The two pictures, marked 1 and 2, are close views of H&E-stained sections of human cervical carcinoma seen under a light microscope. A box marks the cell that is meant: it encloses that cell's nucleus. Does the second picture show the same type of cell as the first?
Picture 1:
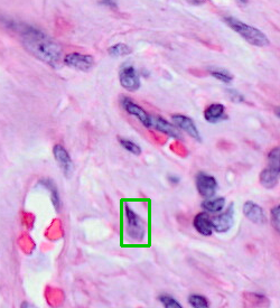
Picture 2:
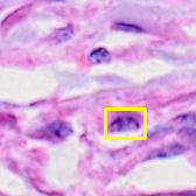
yes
